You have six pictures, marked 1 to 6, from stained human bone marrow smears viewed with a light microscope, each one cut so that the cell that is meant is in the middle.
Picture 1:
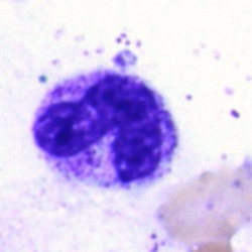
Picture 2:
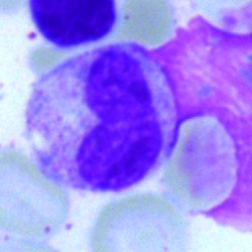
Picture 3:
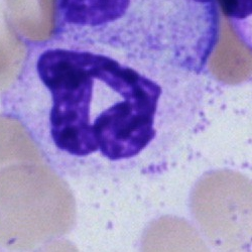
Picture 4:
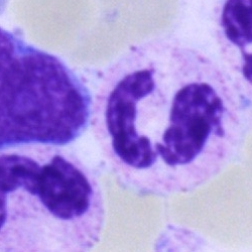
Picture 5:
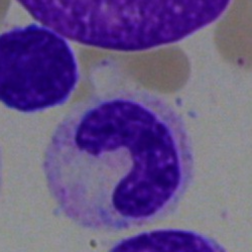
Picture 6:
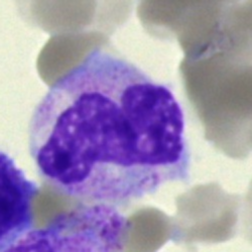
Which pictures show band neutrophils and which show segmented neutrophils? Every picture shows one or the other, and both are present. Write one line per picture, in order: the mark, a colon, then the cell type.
1: band neutrophil
2: band neutrophil
3: segmented neutrophil
4: segmented neutrophil
5: band neutrophil
6: band neutrophil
